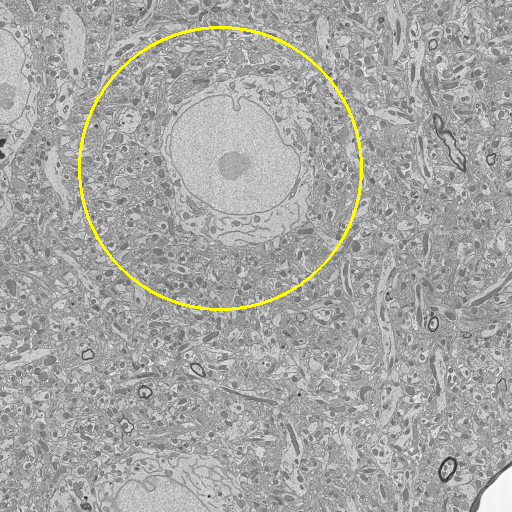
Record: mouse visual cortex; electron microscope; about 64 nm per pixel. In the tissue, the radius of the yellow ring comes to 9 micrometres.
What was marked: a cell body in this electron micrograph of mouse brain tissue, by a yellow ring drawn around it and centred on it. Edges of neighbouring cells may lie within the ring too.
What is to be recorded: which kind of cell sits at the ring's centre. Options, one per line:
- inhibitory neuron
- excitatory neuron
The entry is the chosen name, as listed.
excitatory neuron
